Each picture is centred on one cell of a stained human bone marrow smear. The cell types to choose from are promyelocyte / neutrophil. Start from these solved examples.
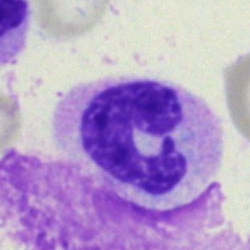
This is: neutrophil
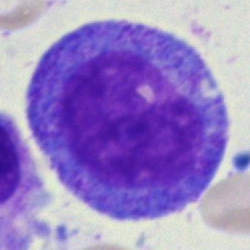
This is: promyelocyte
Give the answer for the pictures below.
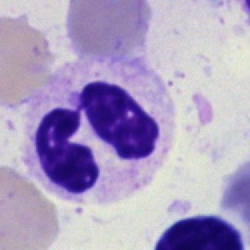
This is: neutrophil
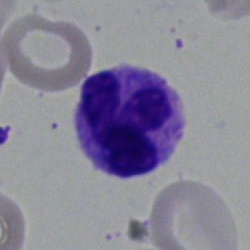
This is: neutrophil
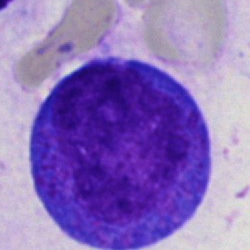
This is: promyelocyte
